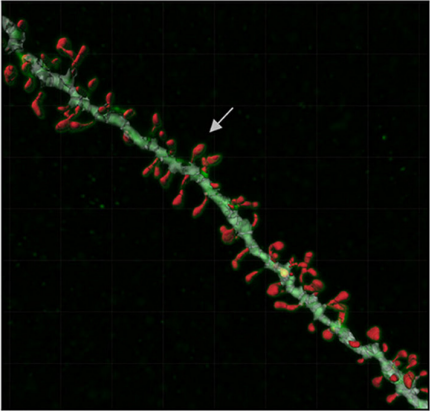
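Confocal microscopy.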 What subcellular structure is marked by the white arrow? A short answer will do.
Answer: spine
